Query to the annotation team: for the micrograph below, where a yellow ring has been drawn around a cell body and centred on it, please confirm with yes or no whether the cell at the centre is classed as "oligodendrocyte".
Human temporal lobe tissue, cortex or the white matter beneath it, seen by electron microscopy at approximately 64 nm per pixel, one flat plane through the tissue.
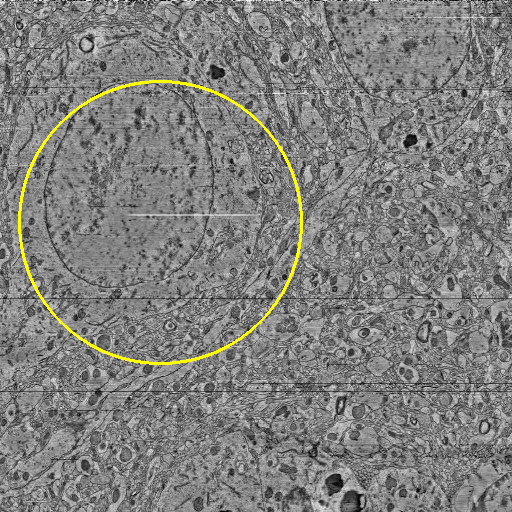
No, it belongs to another class.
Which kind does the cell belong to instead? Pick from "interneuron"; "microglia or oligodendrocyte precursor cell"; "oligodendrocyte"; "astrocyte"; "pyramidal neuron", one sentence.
At the centre of the ring sits a pyramidal neuron.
